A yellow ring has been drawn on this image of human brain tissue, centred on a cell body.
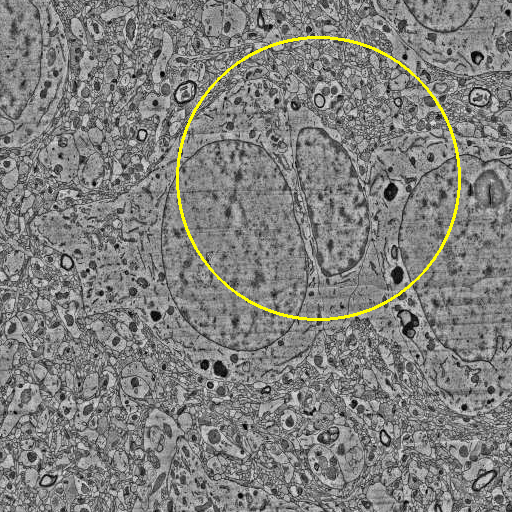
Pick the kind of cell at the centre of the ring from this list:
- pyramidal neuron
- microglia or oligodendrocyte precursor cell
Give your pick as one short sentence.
The centre of the ring holds a microglial cell or oligodendrocyte precursor cell.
